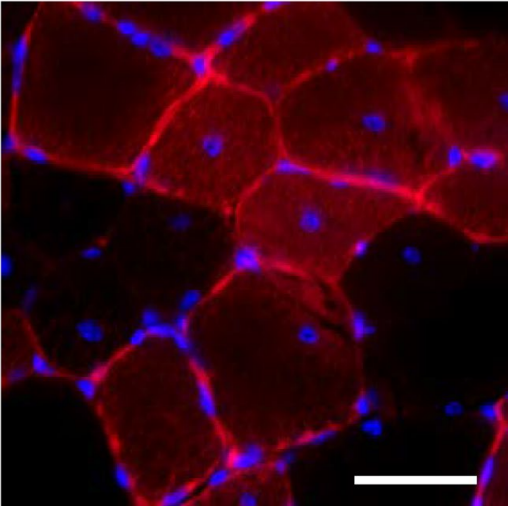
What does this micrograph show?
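This is a cross section of skeletal muscle fibres whose sarcolemma is brightly outlined in red. Several fibres also show a diffuse red tint throughout their cytoplasm, while others are dark inside. Small oval blue nuclei lie mainly along the red fibre borders and in the narrow spaces where fibres meet. No dense clusters of small cells are seen between the fibres, and the outlines are sharper and brighter than a faint rim would be.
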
